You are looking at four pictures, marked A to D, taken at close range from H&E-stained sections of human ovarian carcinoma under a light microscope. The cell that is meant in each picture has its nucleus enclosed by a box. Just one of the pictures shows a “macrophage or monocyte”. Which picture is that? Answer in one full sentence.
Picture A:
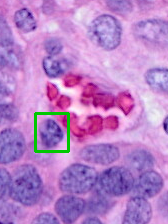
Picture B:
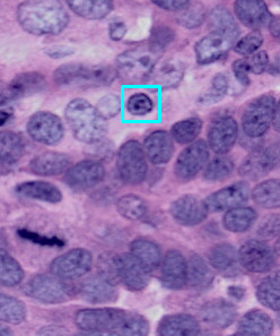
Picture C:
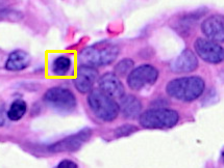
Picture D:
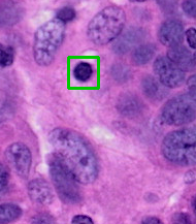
The picture with the “macrophage or monocyte” is A.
